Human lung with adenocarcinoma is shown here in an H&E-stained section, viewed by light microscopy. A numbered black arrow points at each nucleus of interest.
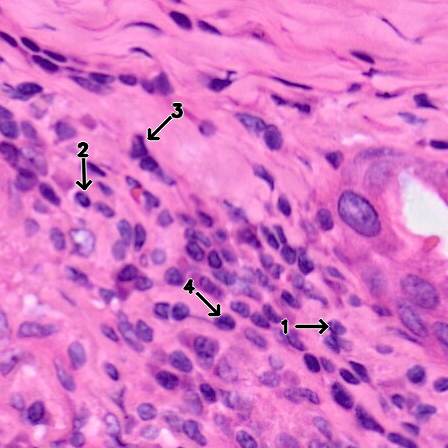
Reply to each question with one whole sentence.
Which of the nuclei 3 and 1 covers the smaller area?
It is nucleus 1; nucleus 3 has about 2.5 times its area.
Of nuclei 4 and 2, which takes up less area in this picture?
With nucleus 4 about 1.5 times its size, nucleus 2 is the smaller of the two.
